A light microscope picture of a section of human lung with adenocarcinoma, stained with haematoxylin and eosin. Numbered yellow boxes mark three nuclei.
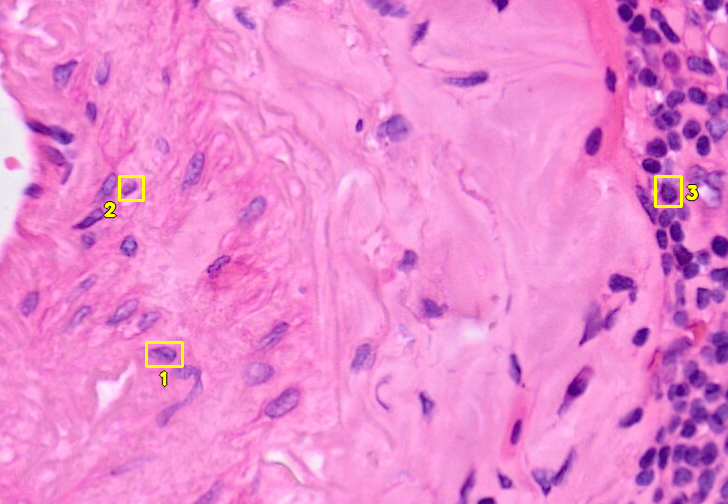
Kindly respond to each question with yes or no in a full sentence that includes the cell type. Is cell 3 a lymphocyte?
Yes, it is a lymphocyte that carries the number 3.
